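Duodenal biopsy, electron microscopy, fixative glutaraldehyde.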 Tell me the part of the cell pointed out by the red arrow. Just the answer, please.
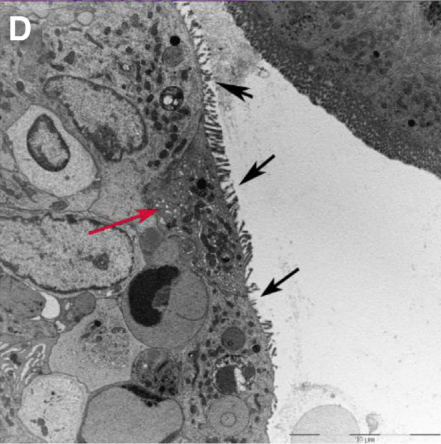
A: Subapical tubulo-vesicular structures.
